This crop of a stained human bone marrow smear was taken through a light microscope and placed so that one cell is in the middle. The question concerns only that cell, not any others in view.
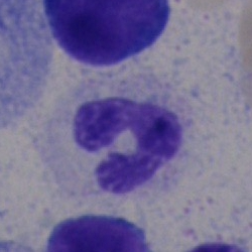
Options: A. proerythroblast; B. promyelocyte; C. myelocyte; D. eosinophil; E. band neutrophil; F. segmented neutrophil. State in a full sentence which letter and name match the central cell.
The cell occupying the centre is a segmented neutrophil; option F is thus the correct choice.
